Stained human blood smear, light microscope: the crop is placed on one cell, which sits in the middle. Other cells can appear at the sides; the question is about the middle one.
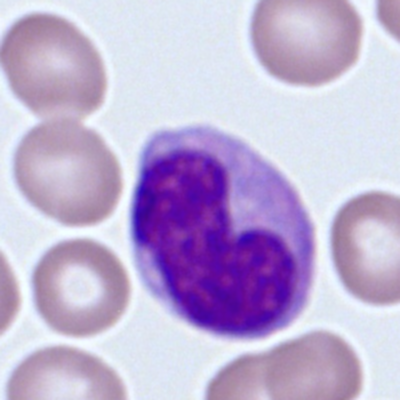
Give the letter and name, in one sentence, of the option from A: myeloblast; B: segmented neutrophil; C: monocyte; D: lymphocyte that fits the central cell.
Option C is the correct option, with the middle cell being a monocyte.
